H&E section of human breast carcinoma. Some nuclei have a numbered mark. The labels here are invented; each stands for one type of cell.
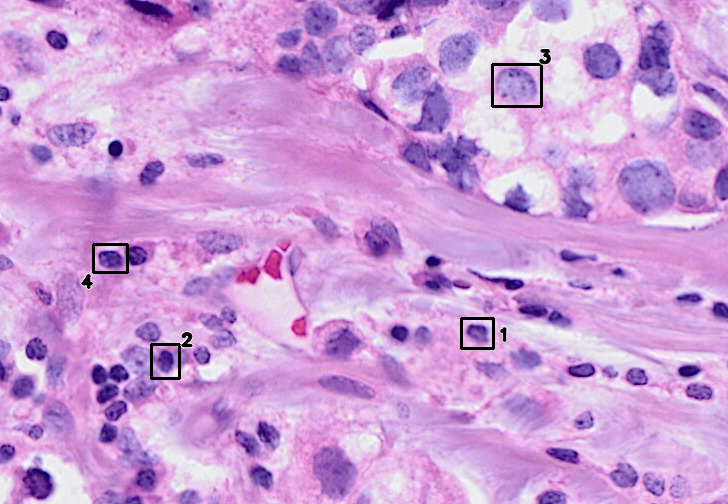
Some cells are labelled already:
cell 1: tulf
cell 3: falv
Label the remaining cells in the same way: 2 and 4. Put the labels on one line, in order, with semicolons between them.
tulf; tulf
